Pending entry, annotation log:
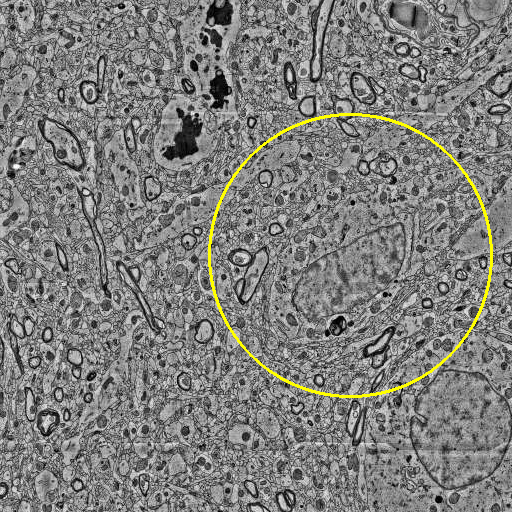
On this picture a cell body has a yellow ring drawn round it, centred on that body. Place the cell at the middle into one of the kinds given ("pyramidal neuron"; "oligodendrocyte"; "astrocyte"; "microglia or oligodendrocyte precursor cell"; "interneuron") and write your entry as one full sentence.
The cell body at the middle of the yellow ring belongs to an interneuron.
